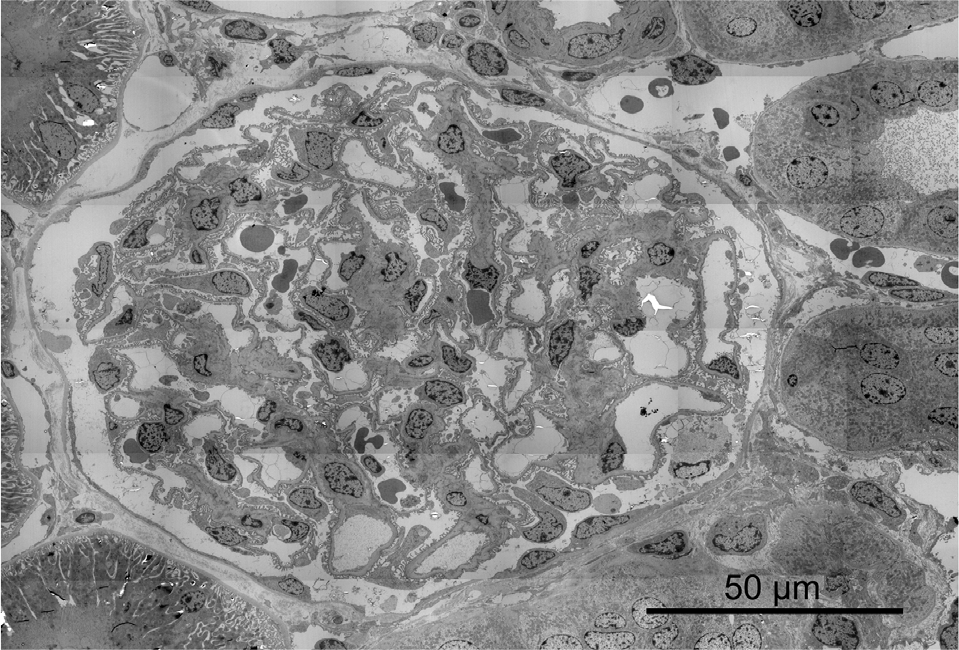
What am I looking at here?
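This is a whole renal glomerulus seen at low electron-microscope magnification: a rounded tuft of tightly coiled capillary loops, many containing dark, round red blood cells, with cell nuclei packed between and along the loops. The tuft is surrounded by a pale clear space and a thin enclosing capsule. Outside the capsule, cross-sections of tubules lined by larger epithelial cells with round nuclei and dense cytoplasm ring the glomerulus.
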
